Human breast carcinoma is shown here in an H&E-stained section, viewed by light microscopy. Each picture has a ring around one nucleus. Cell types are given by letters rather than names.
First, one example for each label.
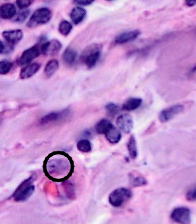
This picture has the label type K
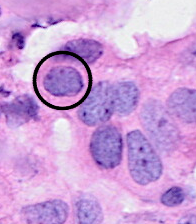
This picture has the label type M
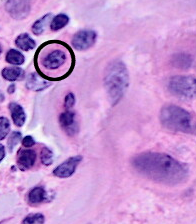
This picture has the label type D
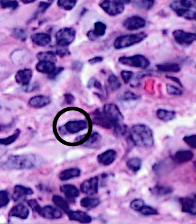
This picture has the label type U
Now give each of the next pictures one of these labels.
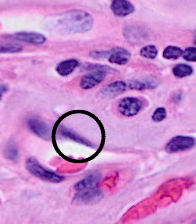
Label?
type K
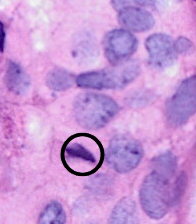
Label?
type M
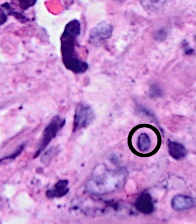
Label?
type D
